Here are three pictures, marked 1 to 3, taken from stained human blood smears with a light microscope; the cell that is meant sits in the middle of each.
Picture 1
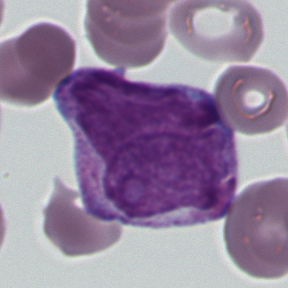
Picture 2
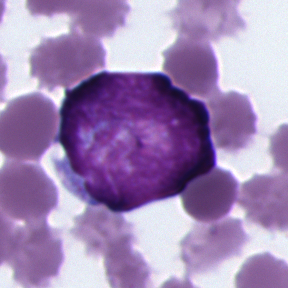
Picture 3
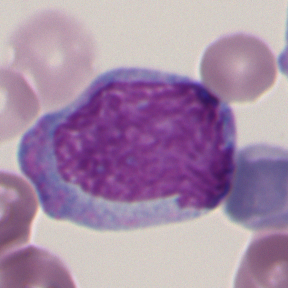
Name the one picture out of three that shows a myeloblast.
2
